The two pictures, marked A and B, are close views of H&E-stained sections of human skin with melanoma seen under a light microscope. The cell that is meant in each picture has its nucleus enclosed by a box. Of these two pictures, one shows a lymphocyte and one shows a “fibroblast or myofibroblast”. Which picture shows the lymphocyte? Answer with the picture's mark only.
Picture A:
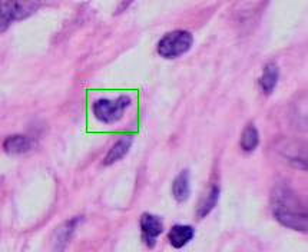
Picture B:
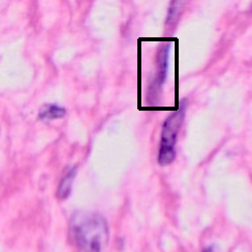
A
